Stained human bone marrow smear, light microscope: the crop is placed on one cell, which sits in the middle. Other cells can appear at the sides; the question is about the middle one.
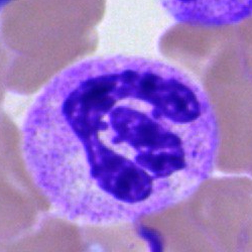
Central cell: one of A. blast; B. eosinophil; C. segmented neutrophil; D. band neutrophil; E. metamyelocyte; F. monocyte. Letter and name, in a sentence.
Since the middle cell is a segmented neutrophil, option C is the right one.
